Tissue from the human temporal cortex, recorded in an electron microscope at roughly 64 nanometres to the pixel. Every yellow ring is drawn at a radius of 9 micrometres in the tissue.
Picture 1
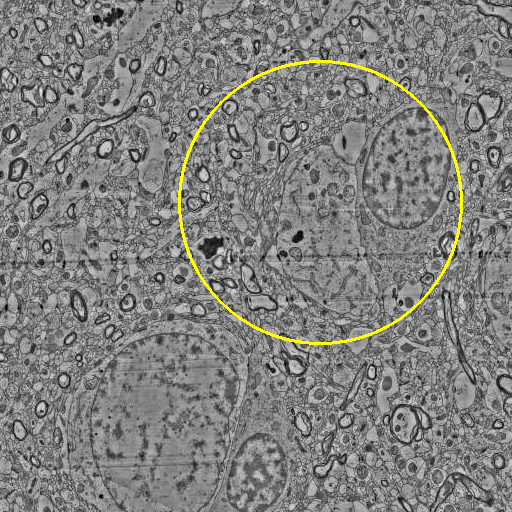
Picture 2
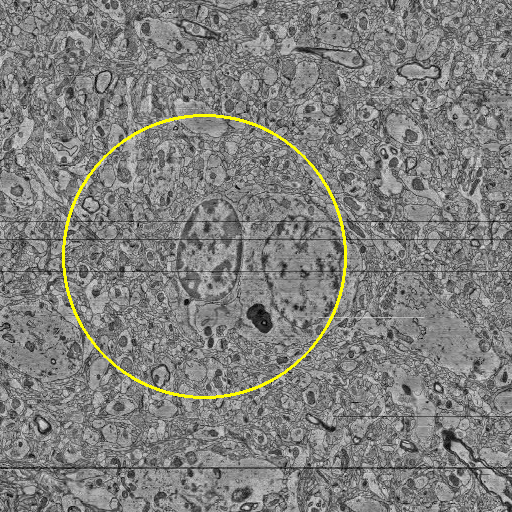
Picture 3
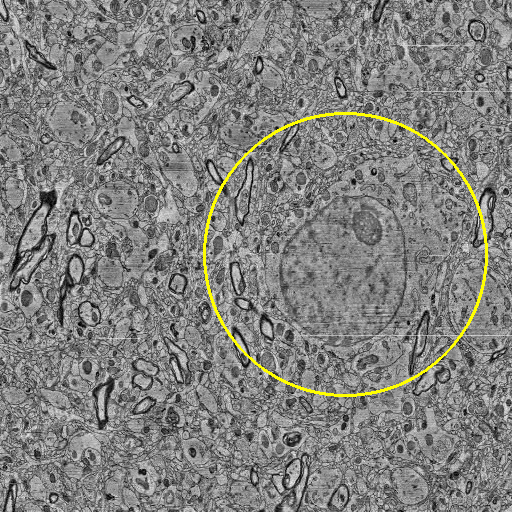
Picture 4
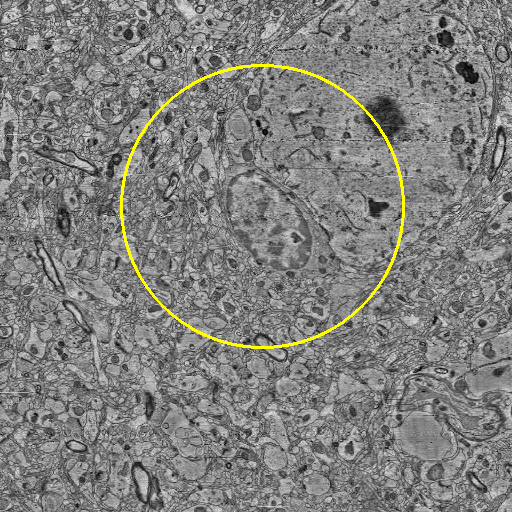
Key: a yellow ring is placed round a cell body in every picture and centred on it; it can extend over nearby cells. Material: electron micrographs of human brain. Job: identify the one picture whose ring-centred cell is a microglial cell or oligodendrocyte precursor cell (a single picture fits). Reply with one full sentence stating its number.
Picture 2 is the one with the sought cell at the centre of its ring.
